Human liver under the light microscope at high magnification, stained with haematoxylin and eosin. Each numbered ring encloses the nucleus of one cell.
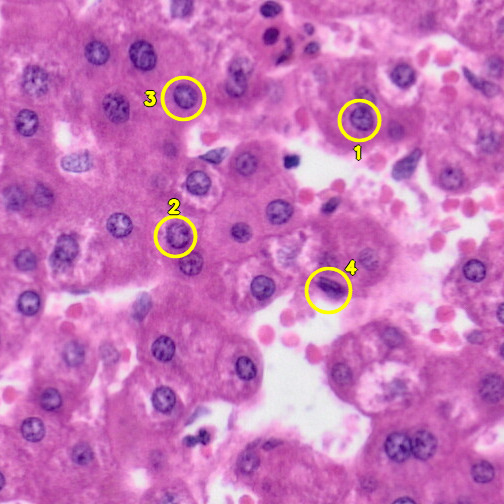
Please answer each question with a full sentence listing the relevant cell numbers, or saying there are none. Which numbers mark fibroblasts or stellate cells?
Only one marked cell, number 4, is a fibroblast or stellate cell.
